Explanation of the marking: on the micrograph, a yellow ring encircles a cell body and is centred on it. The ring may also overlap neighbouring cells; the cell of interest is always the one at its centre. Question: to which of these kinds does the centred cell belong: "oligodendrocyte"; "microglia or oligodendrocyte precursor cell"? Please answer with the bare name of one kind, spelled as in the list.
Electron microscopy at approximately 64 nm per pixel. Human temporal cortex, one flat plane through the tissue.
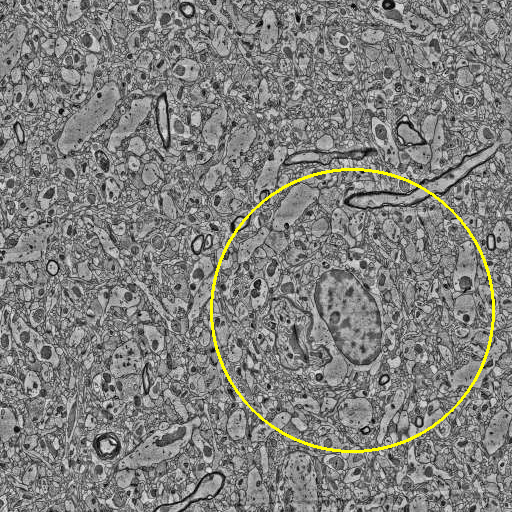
microglia or oligodendrocyte precursor cell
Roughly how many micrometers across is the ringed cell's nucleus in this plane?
About 6 by 4 micrometers, in this plane.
